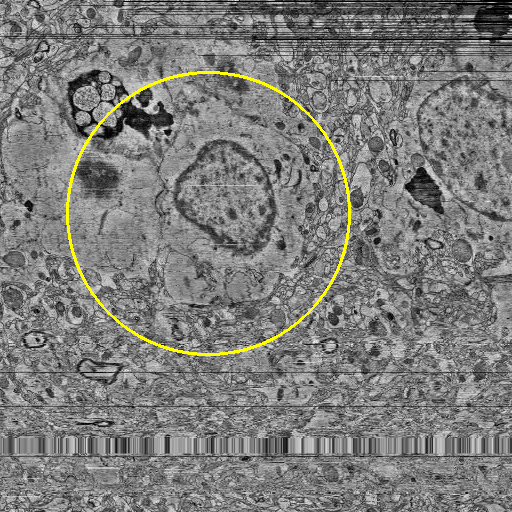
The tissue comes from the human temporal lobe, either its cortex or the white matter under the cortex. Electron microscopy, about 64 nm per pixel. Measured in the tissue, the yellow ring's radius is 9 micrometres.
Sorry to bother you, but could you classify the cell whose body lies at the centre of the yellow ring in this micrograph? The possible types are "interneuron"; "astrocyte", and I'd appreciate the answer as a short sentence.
The ringed cell body is that of an astrocyte.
